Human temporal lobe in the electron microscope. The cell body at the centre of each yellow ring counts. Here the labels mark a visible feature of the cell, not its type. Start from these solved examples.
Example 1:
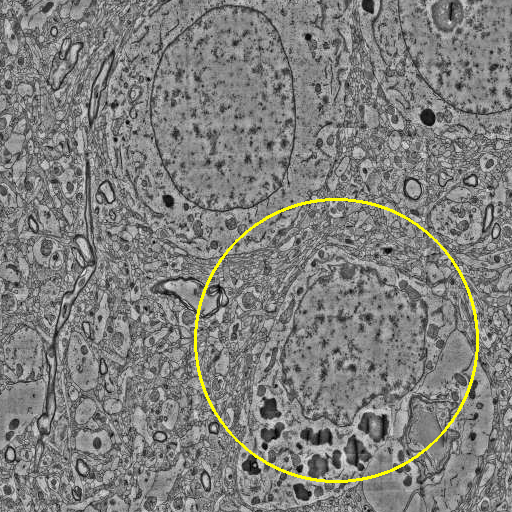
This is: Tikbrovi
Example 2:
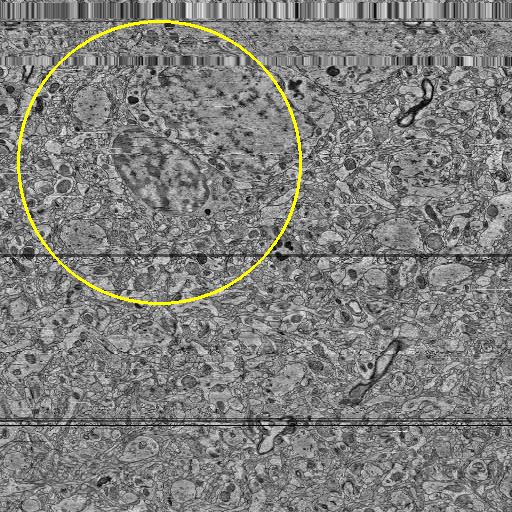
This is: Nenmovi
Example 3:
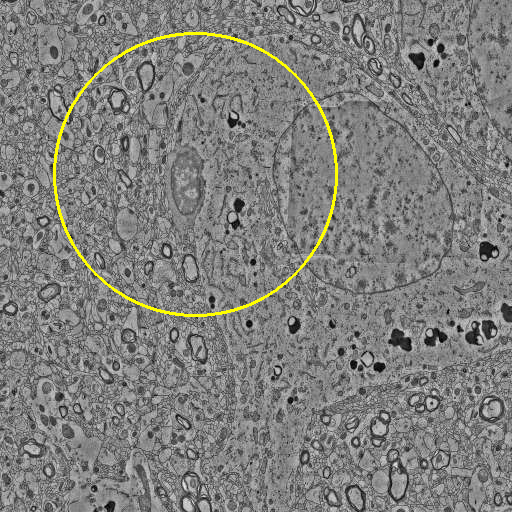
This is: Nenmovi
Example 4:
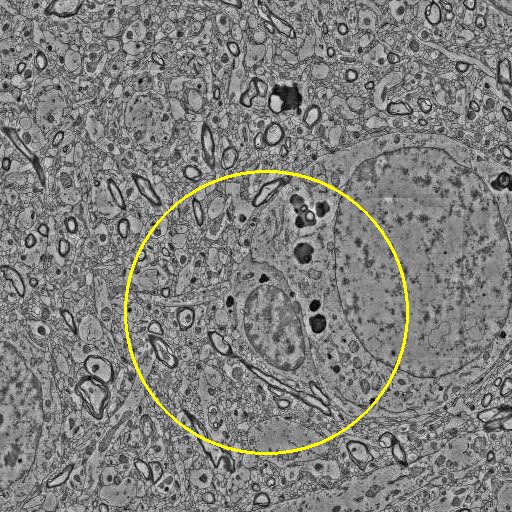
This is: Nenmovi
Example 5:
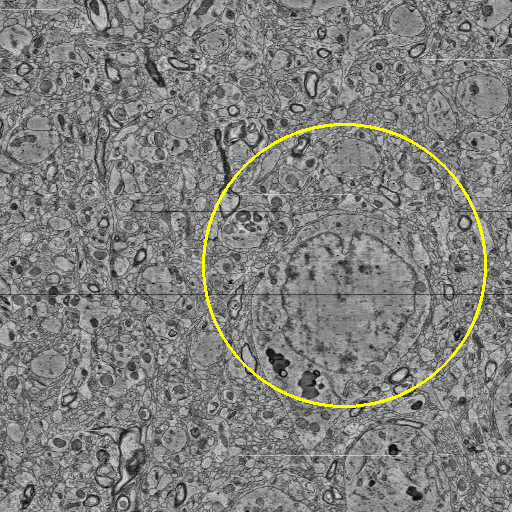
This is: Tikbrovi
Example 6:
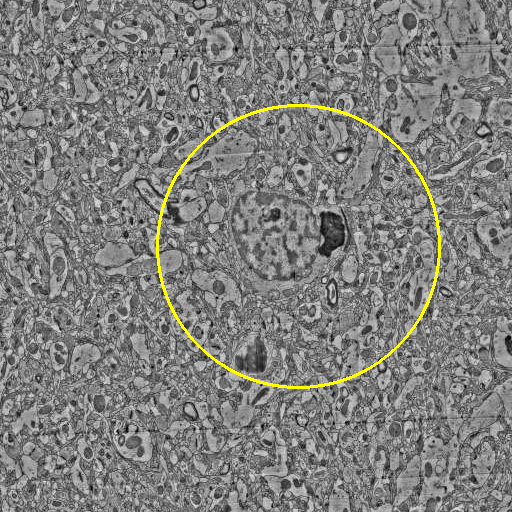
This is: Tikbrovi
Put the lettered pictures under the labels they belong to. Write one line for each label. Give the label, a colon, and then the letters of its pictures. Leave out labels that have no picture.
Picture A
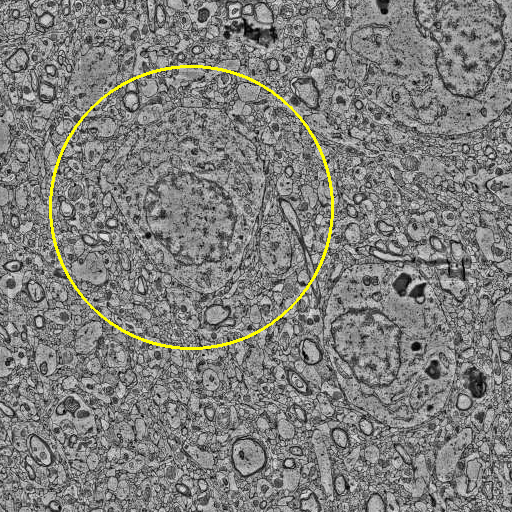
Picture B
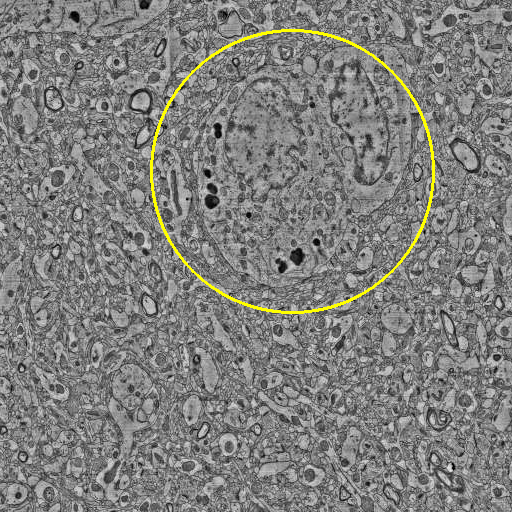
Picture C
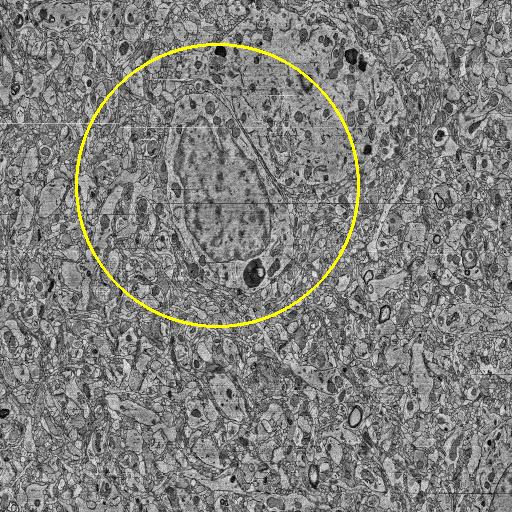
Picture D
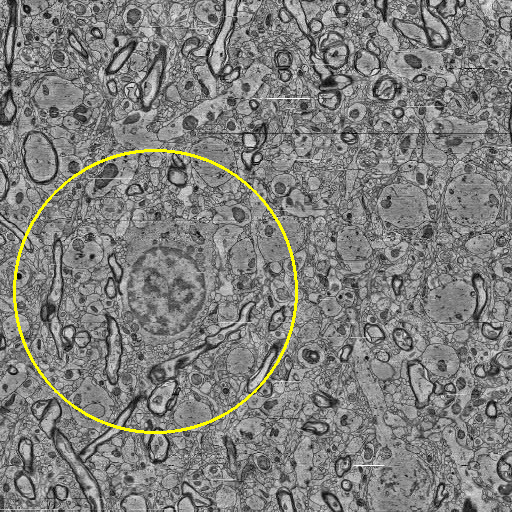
Tikbrovi: A, D
Nenmovi: B, C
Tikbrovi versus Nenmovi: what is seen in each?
Tikbrovi: round or nearly round nuclei; Nenmovi: clearly elongated nuclei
